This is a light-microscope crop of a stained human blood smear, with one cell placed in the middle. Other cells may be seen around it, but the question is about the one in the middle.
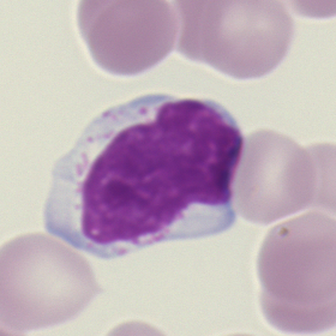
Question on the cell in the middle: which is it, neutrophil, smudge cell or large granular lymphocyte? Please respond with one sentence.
On this slide crop, the central cell is a large granular lymphocyte.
